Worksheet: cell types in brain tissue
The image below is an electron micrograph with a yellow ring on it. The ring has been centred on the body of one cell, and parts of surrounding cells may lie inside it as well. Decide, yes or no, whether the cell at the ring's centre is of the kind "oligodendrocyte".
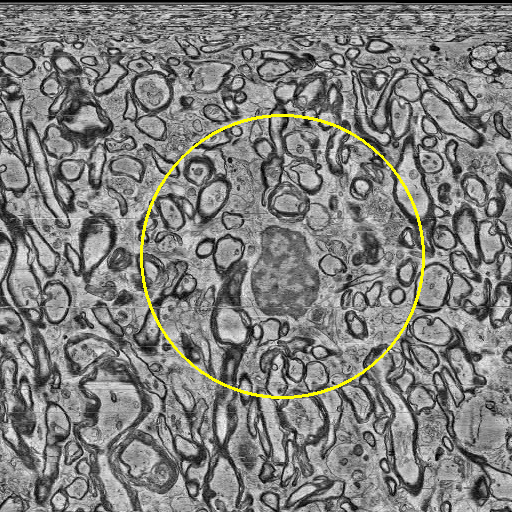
no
